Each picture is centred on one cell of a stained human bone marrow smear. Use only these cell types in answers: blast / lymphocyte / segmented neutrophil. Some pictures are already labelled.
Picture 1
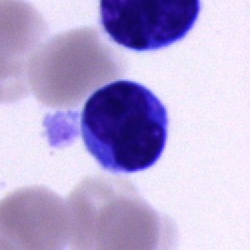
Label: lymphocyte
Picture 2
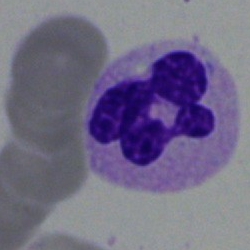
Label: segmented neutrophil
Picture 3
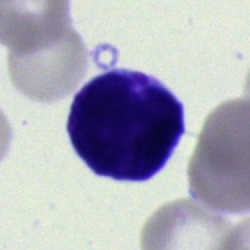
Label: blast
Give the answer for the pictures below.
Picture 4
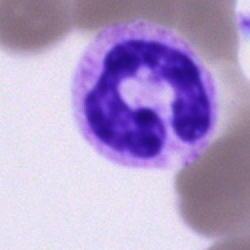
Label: segmented neutrophil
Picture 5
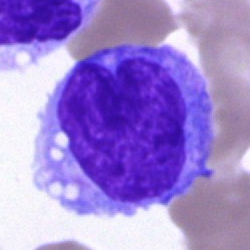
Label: blast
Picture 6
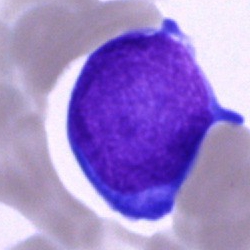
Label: blast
